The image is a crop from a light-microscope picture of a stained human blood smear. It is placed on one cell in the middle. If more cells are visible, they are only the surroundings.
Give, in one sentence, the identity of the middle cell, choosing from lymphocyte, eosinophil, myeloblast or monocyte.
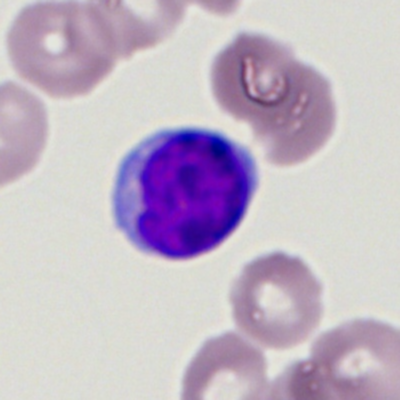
The cell sitting right in the middle is a lymphocyte.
